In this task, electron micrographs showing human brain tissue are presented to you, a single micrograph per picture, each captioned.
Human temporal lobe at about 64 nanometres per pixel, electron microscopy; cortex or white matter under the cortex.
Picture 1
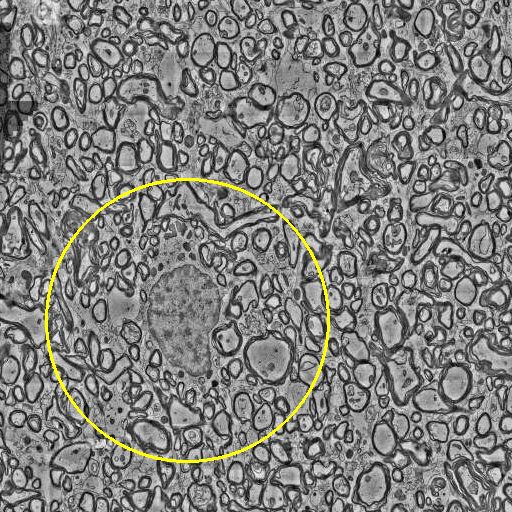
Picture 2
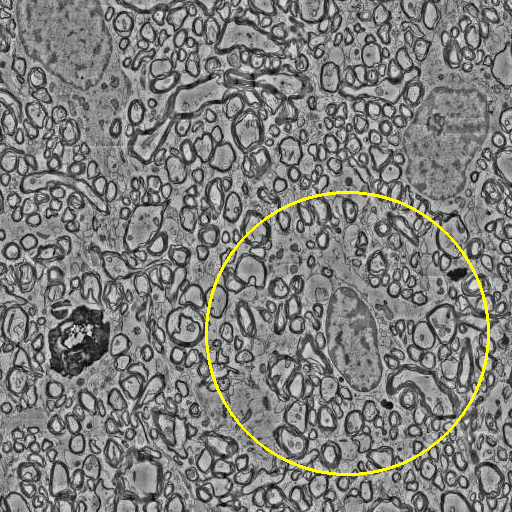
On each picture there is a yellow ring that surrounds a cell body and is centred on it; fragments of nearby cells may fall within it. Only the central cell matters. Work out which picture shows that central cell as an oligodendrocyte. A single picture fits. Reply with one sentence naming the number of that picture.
Of all the pictures, number 1 has the right cell in the centre of its ring.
